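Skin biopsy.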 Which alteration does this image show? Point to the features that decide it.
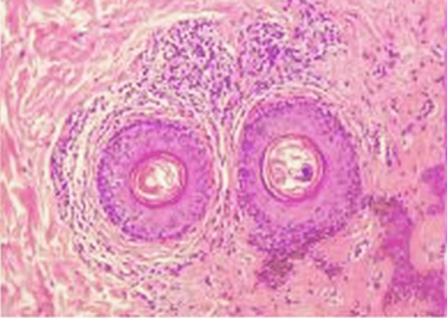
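Two round epithelial structures in cross-section are each ringed by concentric layers of cells. Dense clusters of small dark round nuclei crowd the stroma around and between the two structures.
Conclusion: perifollicular inflammation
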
